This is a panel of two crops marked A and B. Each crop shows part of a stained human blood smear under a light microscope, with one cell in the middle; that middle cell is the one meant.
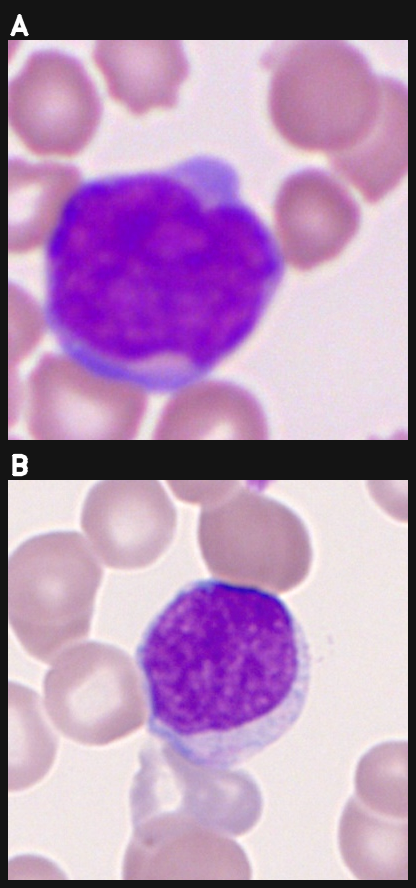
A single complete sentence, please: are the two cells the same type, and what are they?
Yes, the central cells of both crops are myeloblasts.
